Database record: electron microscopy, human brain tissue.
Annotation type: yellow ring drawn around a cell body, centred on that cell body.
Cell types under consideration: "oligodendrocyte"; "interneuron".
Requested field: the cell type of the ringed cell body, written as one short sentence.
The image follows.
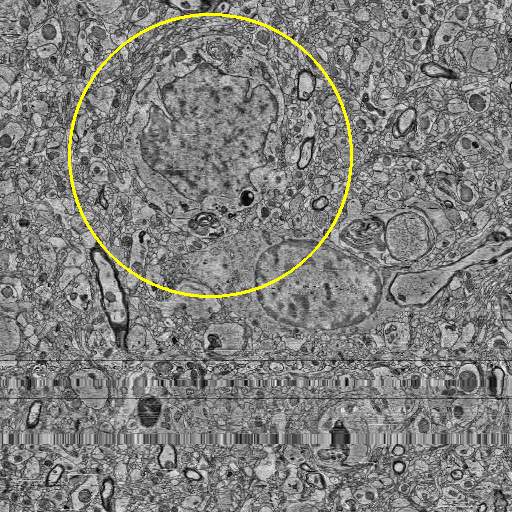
The ringed cell body represents an interneuron.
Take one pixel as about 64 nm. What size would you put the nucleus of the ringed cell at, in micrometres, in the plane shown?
In this plane the ringed cell's nucleus is roughly 8 micrometres across.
